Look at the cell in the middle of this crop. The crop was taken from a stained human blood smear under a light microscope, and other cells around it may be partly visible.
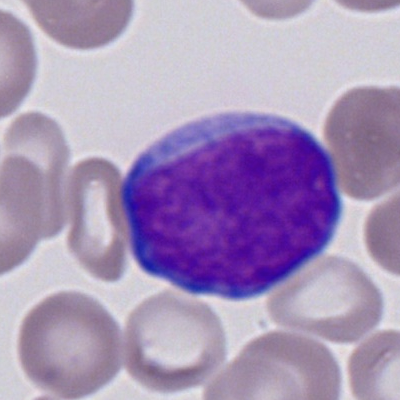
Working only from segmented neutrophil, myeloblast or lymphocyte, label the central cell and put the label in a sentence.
Looking at the middle of the crop, the cell there is a myeloblast.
